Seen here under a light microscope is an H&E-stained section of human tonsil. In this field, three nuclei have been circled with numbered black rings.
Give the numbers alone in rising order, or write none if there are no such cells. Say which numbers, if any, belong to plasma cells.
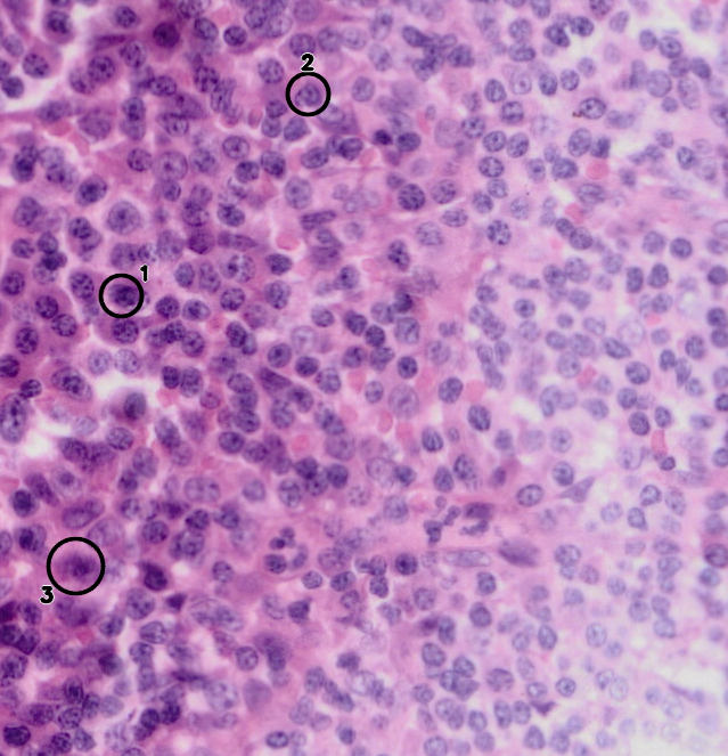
1, 2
